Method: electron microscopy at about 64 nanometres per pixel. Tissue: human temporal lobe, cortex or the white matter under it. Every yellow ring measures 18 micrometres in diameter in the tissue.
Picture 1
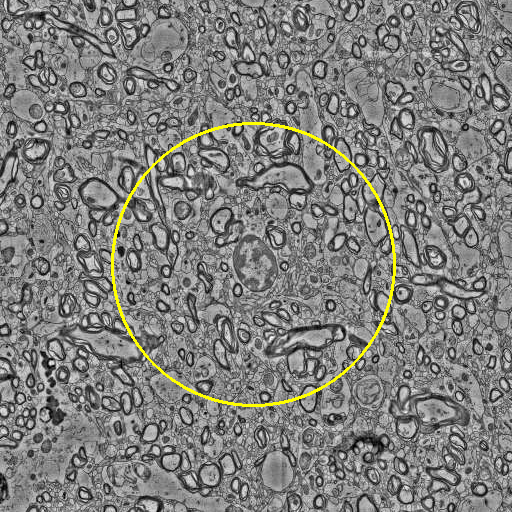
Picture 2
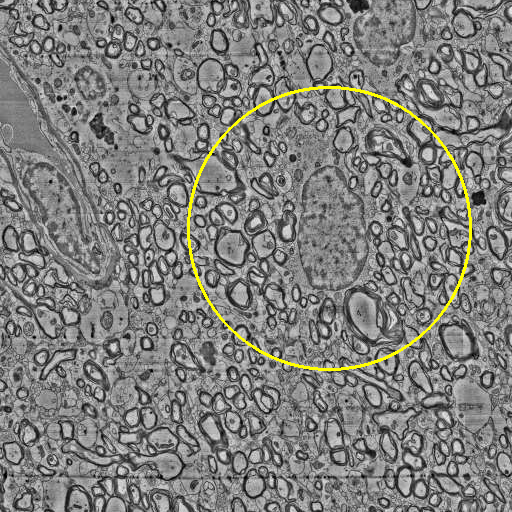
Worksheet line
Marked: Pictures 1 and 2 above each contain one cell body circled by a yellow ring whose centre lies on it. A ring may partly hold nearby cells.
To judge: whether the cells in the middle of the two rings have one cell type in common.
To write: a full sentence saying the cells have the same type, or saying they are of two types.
The cells in the middle of the rings in Picture 1 and Picture 2 are of two types.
